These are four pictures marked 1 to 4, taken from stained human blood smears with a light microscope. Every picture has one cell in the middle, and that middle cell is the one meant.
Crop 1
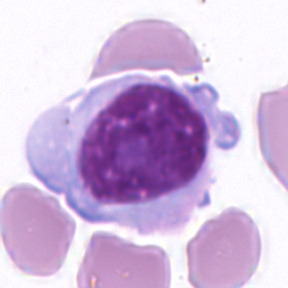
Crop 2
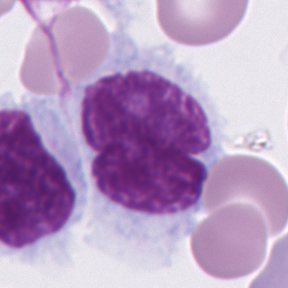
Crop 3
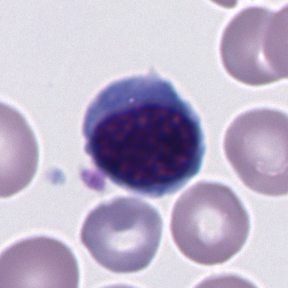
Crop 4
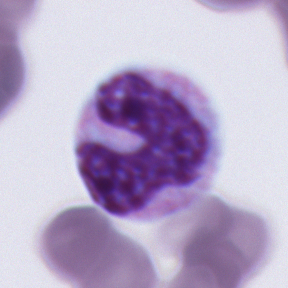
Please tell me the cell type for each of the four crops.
1: plasma cell
2: hairy cell
3: normoblast
4: band neutrophil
